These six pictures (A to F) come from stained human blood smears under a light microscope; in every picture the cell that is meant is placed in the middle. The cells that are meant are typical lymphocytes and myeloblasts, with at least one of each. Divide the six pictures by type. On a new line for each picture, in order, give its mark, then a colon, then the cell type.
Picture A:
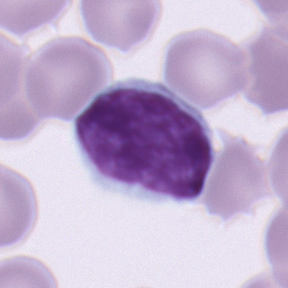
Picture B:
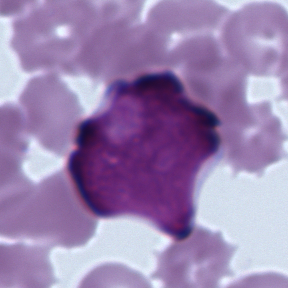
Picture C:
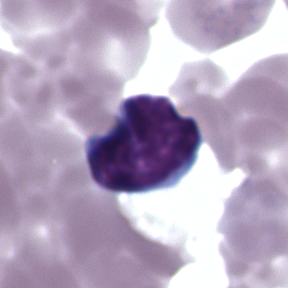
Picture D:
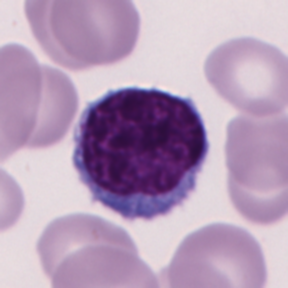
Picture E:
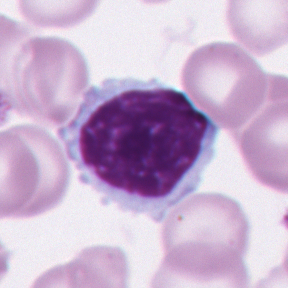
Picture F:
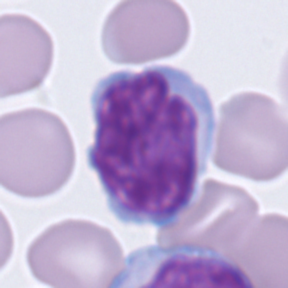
A: typical lymphocyte
B: myeloblast
C: typical lymphocyte
D: typical lymphocyte
E: typical lymphocyte
F: myeloblast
